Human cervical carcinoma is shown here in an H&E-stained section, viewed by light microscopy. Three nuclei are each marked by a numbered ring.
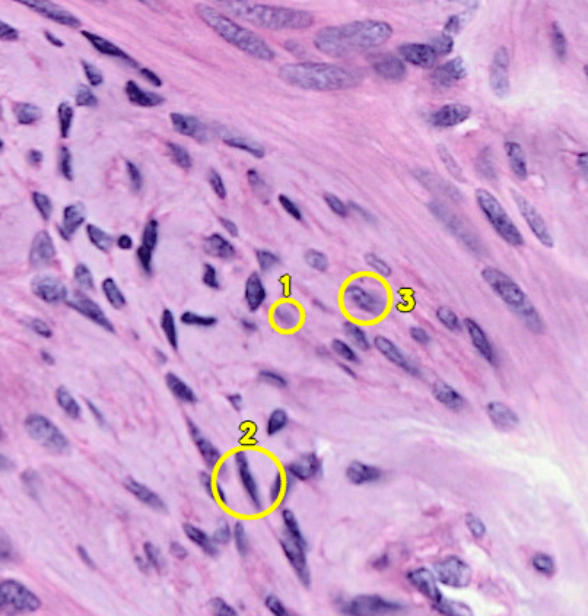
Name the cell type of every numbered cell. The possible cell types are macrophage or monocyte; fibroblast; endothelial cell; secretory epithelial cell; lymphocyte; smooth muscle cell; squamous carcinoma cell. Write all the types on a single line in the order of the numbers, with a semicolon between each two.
smooth muscle cell; fibroblast; smooth muscle cell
